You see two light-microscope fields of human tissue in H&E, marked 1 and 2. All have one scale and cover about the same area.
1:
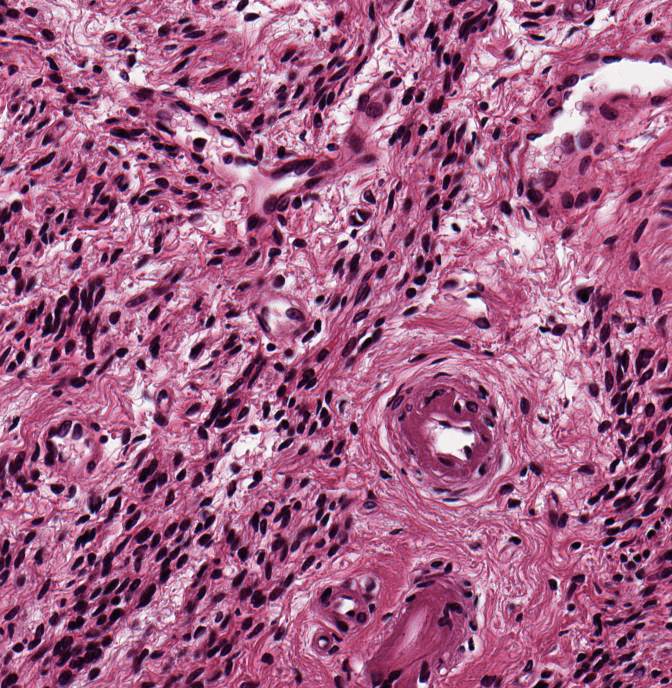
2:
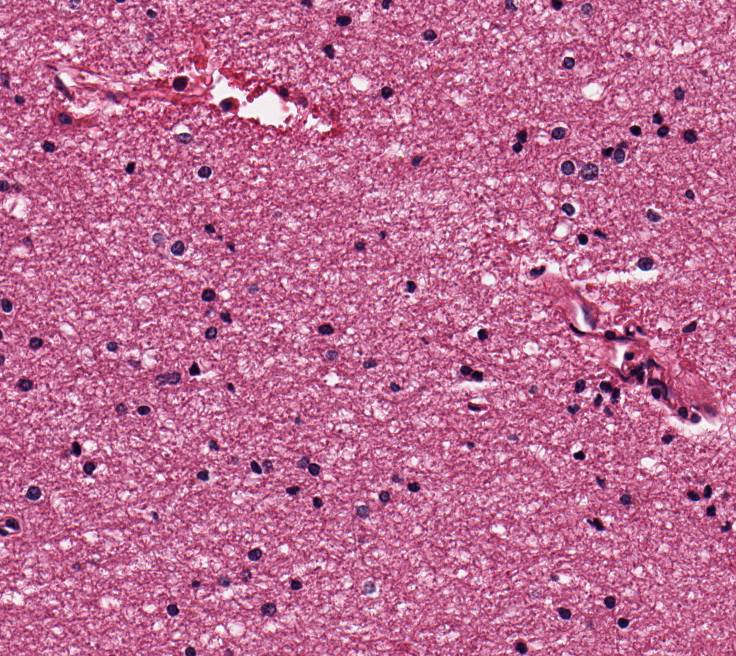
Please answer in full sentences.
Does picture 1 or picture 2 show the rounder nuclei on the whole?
It is picture 2 whose nuclei are the rounder.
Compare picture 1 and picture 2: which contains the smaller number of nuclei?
Fewer nuclei lie in picture 2 than in picture 1.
